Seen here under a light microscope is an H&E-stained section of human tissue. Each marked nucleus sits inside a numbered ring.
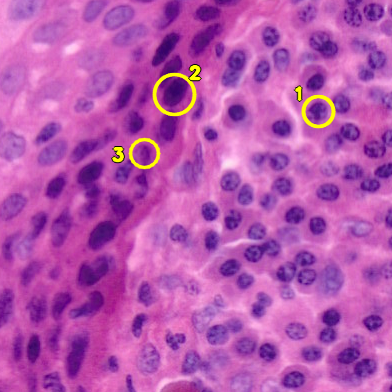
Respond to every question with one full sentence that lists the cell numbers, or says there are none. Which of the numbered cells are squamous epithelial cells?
Each of the cells numbered 2 and 3 is among the squamous epithelial cells.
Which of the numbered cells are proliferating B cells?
The numbered cells are entirely free of proliferating B cells.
